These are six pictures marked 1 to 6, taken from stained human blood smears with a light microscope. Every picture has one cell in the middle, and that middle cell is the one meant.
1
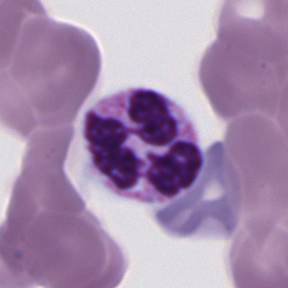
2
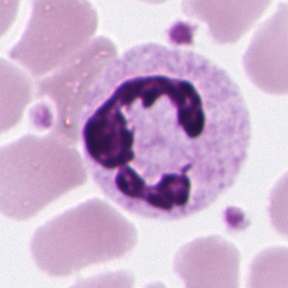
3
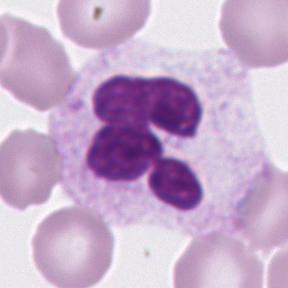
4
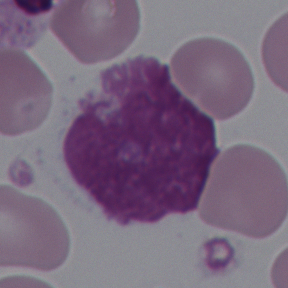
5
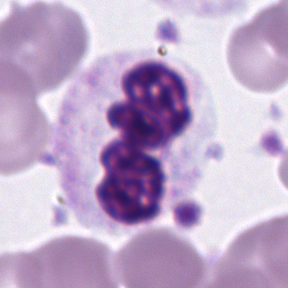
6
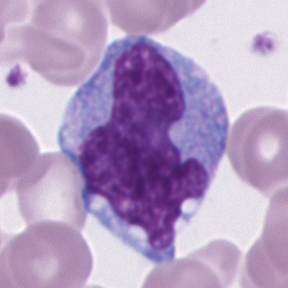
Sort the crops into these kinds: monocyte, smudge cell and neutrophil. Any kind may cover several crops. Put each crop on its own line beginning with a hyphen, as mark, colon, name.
- 1: neutrophil
- 2: neutrophil
- 3: neutrophil
- 4: smudge cell
- 5: neutrophil
- 6: monocyte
